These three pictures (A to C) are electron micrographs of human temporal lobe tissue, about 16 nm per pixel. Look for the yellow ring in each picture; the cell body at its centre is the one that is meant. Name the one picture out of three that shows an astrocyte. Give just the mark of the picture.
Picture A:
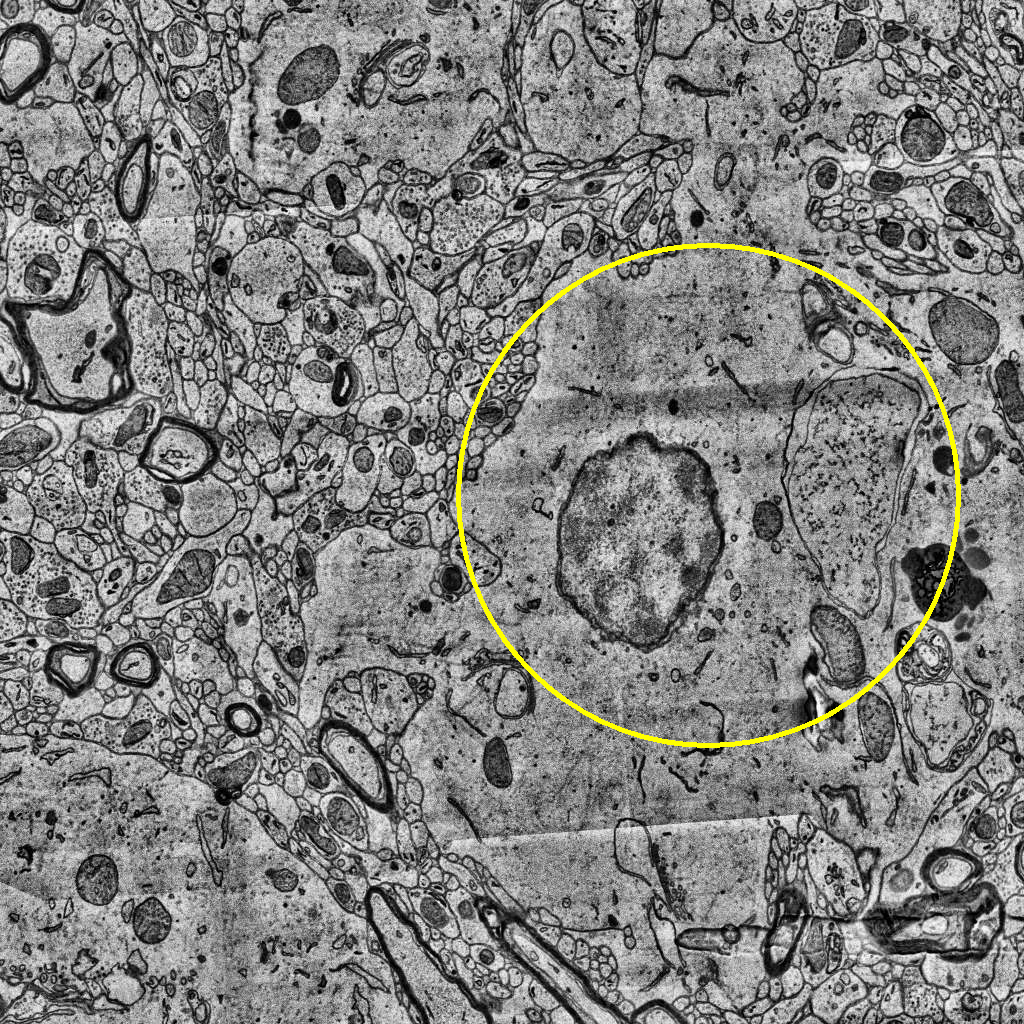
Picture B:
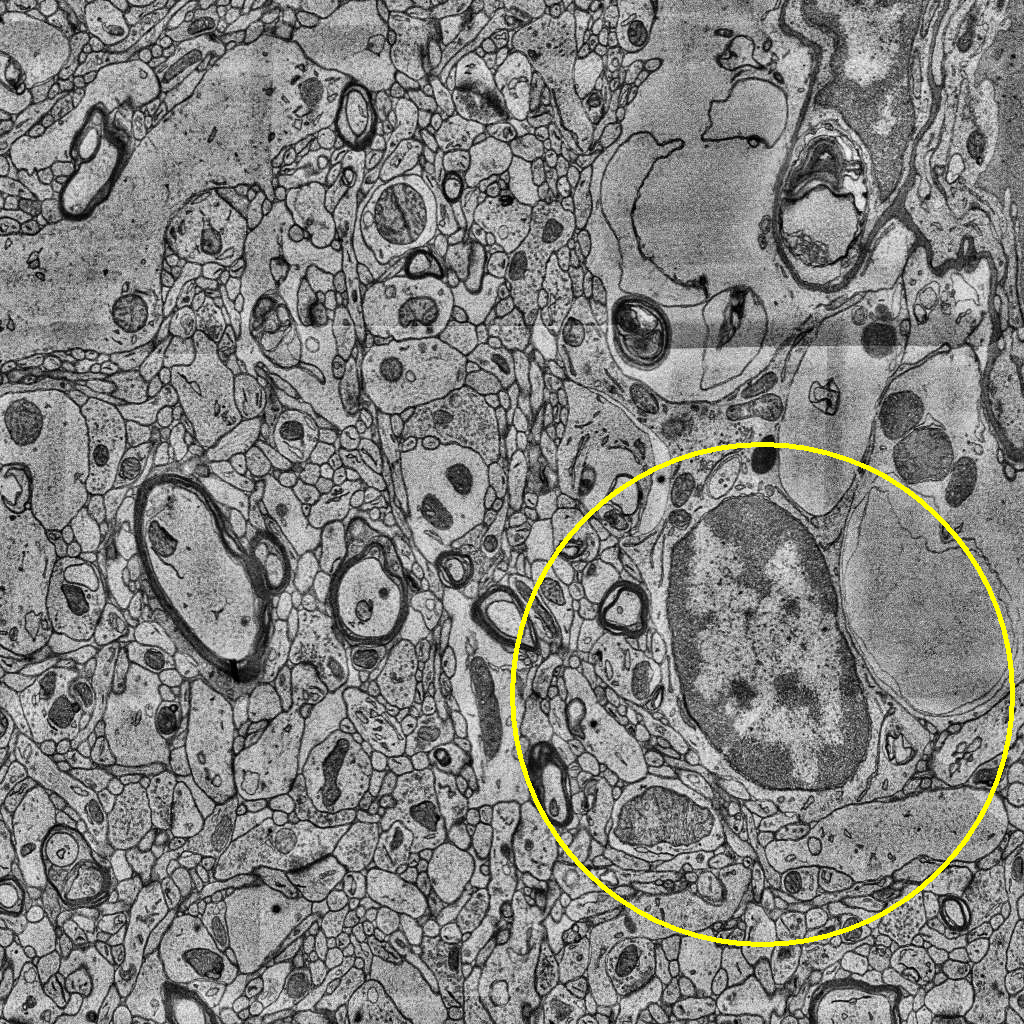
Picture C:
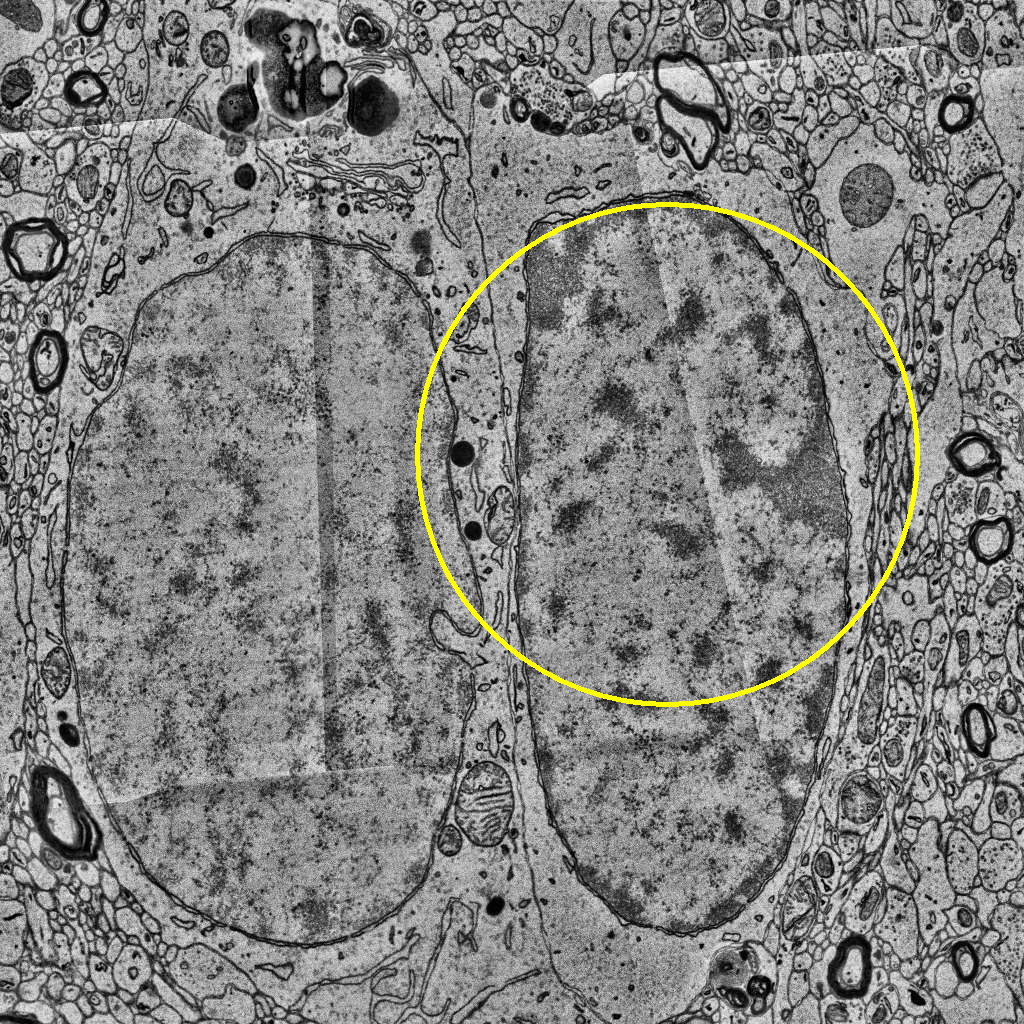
A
